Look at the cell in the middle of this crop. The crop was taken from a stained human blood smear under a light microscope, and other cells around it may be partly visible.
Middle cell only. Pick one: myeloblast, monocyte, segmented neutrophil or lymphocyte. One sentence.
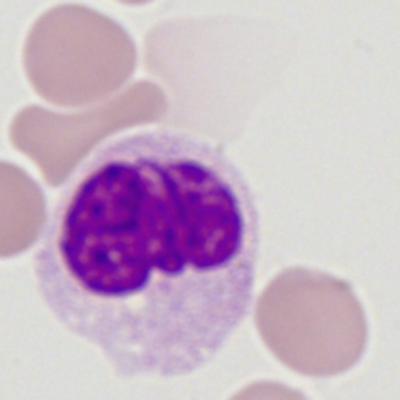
What sits at the centre of this crop is a monocyte.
